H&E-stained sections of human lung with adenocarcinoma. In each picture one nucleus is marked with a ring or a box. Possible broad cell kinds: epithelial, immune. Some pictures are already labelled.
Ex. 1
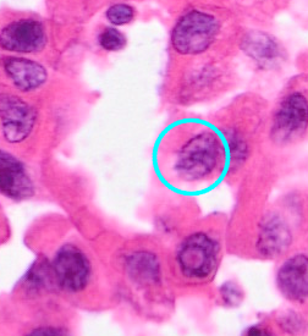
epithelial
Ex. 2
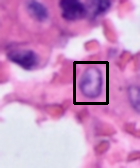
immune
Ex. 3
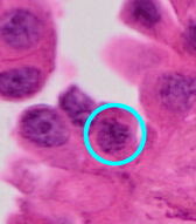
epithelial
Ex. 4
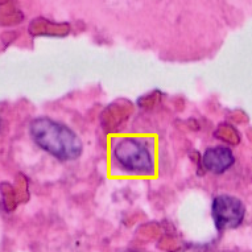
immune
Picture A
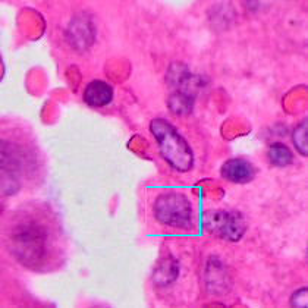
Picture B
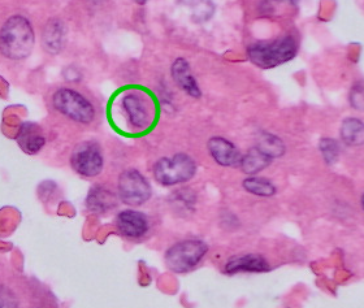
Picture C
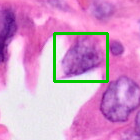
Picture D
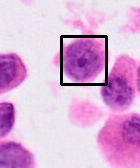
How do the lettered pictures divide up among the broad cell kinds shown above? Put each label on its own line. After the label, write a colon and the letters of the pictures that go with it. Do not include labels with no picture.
epithelial: C, D
immune: A, B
